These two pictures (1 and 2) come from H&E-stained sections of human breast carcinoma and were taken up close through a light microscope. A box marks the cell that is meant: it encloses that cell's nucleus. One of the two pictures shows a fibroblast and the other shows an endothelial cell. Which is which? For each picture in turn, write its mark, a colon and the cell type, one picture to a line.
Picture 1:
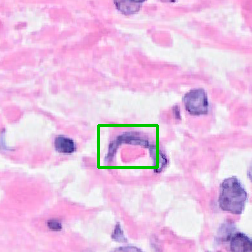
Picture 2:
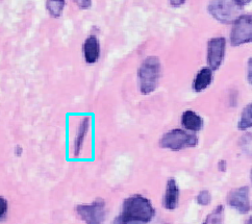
1: endothelial cell
2: fibroblast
